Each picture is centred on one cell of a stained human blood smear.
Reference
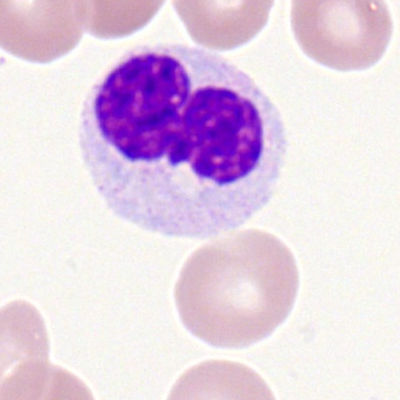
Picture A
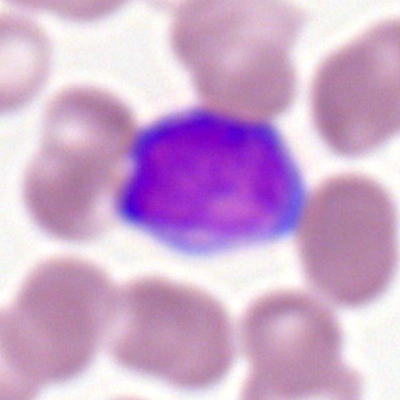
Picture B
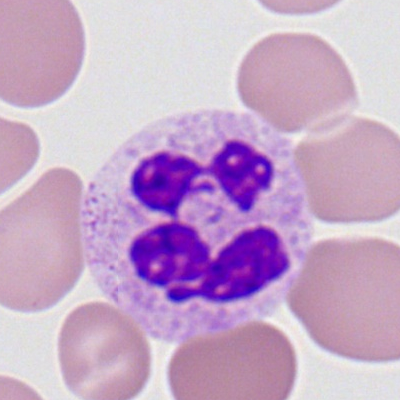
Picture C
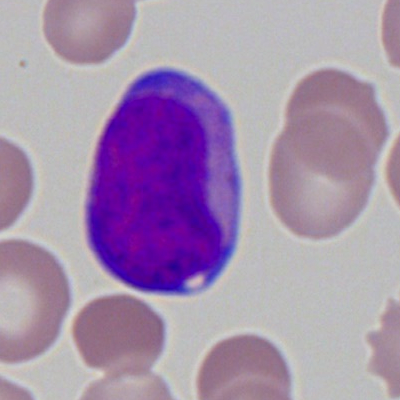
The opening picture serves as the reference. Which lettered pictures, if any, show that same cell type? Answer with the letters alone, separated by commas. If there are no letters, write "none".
B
